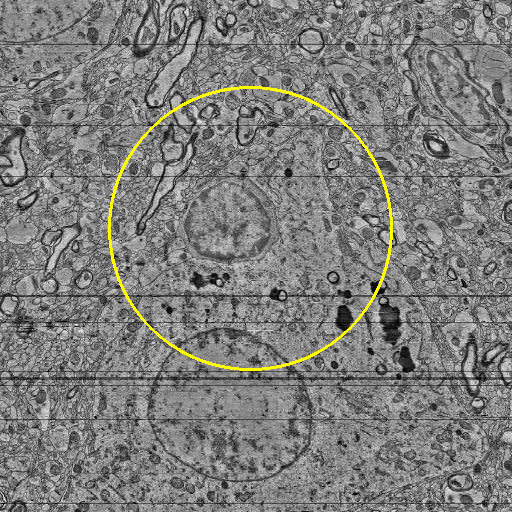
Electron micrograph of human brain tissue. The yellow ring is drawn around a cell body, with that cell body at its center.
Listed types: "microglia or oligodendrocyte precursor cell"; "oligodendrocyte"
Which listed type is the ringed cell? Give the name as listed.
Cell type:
oligodendrocyte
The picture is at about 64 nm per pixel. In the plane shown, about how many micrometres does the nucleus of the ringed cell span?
In this plane, approximately 5 micrometres across.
